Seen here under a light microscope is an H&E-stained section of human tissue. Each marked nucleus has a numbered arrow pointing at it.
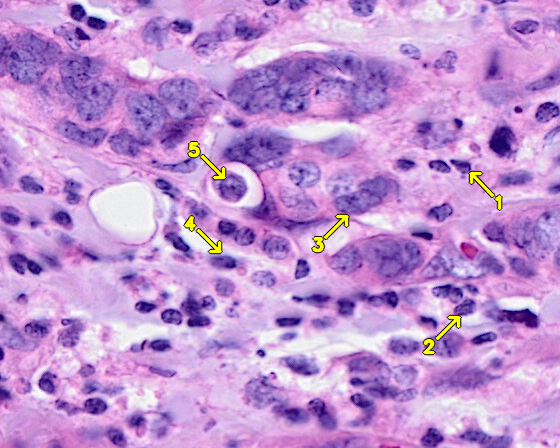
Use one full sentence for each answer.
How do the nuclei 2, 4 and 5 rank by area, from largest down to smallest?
Largest first, the order by area is 5, 4, 2.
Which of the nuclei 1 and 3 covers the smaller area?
Nucleus 1 covers less area, with nucleus 3 about 4 times as large.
